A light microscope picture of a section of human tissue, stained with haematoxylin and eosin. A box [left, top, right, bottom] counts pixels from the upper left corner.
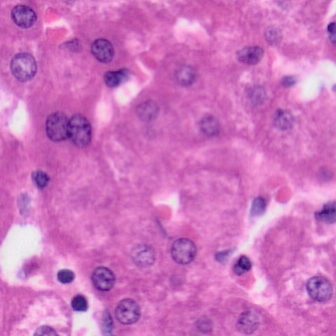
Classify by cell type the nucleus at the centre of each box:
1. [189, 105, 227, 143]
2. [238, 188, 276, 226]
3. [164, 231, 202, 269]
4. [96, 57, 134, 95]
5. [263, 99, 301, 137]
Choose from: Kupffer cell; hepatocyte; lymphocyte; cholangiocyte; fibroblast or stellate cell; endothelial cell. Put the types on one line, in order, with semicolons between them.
hepatocyte; Kupffer cell; hepatocyte; fibroblast or stellate cell; hepatocyte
